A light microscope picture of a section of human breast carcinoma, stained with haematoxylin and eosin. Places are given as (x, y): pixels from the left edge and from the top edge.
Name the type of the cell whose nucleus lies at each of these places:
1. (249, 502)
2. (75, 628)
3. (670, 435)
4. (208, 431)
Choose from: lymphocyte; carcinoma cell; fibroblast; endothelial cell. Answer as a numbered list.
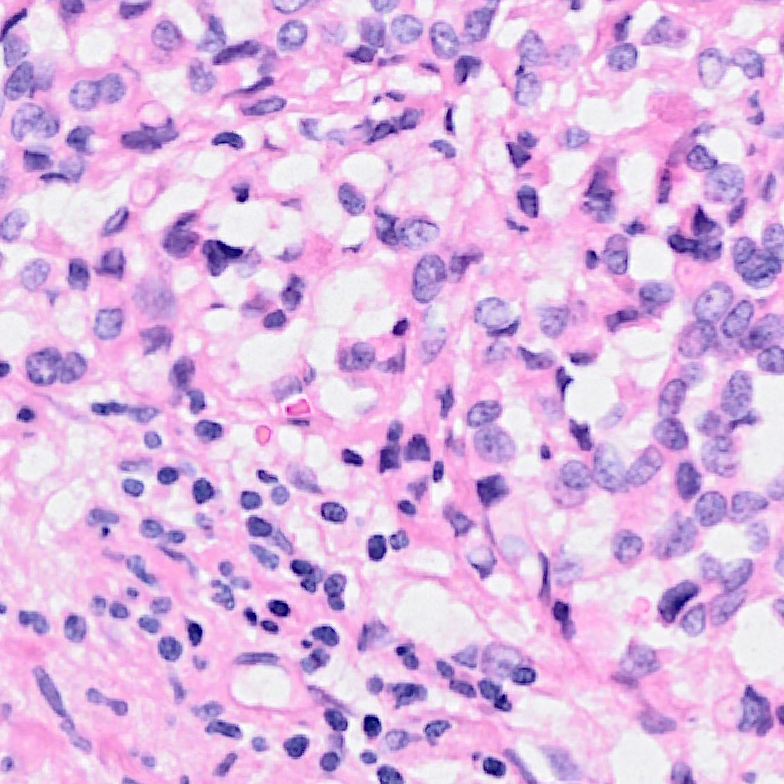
1. lymphocyte
2. lymphocyte
3. carcinoma cell
4. lymphocyte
